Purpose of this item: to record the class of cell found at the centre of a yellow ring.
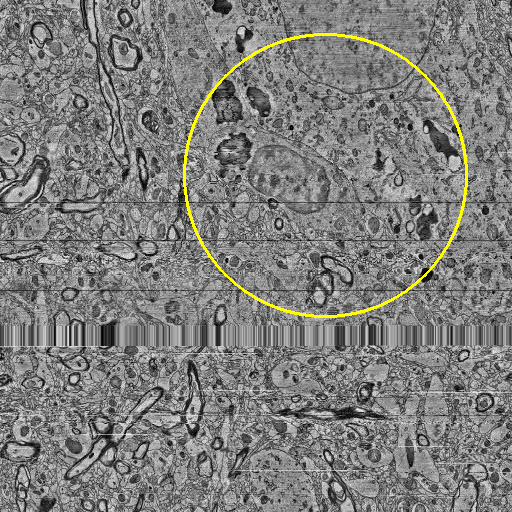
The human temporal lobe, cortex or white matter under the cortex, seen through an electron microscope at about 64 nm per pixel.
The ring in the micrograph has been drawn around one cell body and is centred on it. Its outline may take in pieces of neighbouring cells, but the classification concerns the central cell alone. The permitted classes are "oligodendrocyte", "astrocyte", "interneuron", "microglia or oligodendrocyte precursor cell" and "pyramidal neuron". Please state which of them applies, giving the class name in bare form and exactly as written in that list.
oligodendrocyte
